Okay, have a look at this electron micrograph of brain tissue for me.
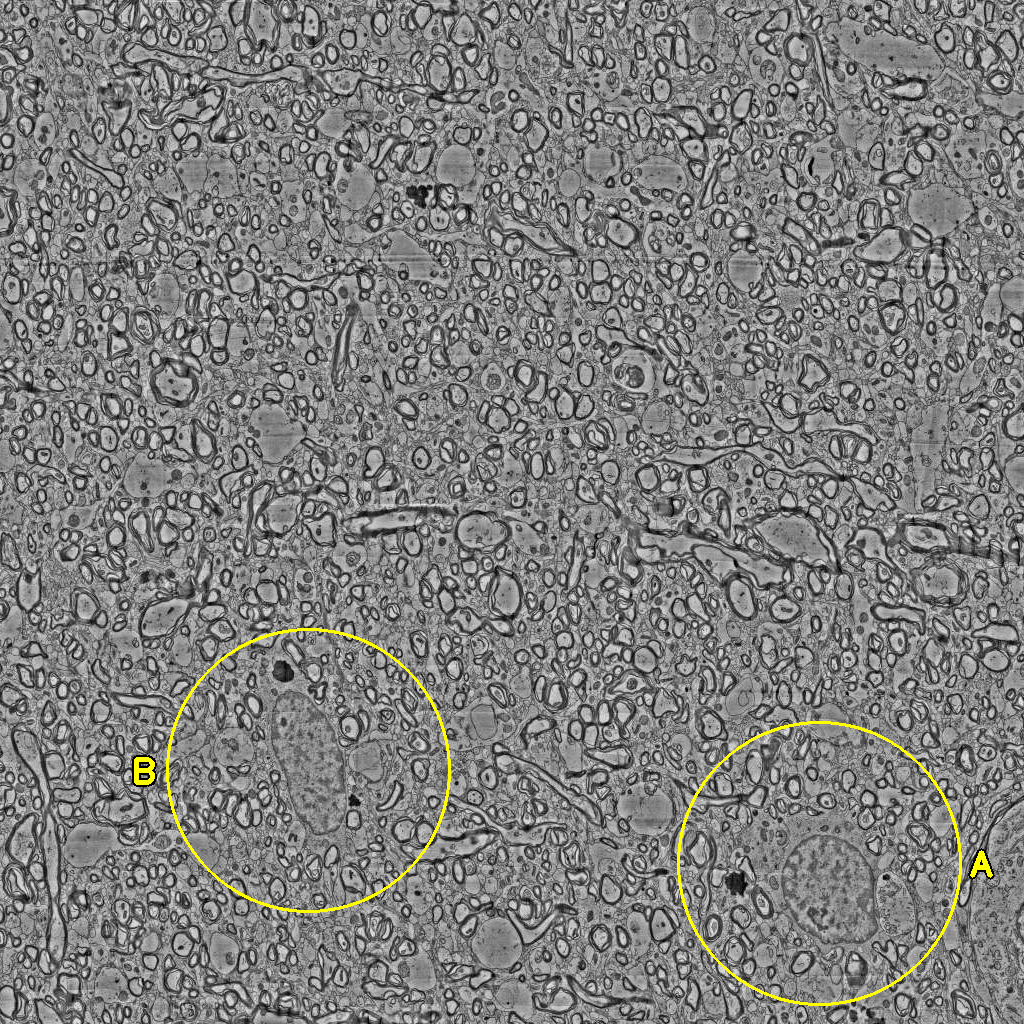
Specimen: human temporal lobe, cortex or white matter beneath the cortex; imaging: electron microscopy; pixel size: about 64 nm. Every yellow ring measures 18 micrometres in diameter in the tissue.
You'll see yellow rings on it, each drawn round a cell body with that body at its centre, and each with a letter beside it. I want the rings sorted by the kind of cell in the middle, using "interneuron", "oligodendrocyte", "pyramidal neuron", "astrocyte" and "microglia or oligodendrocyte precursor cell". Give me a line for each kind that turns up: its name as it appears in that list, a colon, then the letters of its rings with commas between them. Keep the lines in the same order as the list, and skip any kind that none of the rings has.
oligodendrocyte: A, B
